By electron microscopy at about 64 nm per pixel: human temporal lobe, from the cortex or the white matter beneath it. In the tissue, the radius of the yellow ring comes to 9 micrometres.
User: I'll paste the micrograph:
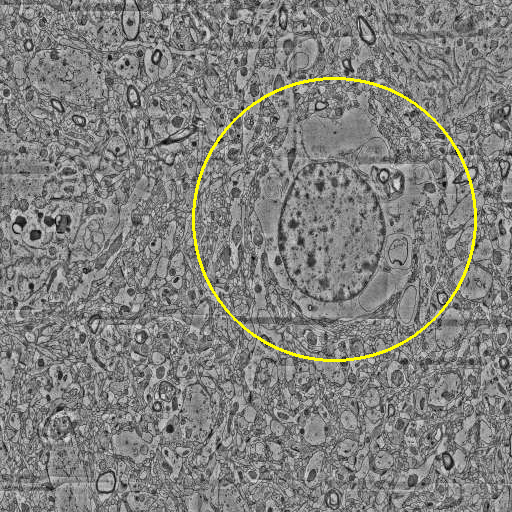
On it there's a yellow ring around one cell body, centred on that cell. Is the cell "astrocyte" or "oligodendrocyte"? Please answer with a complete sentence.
The cell ringed in yellow is an astrocyte.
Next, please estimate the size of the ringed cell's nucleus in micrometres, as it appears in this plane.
About 9 by 7 micrometers for the nucleus, in this plane.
